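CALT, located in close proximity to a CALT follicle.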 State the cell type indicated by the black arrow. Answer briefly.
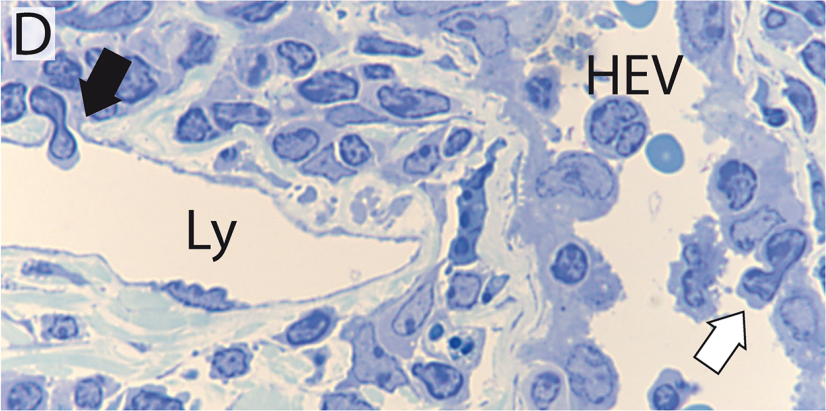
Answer: Lymphocyte.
